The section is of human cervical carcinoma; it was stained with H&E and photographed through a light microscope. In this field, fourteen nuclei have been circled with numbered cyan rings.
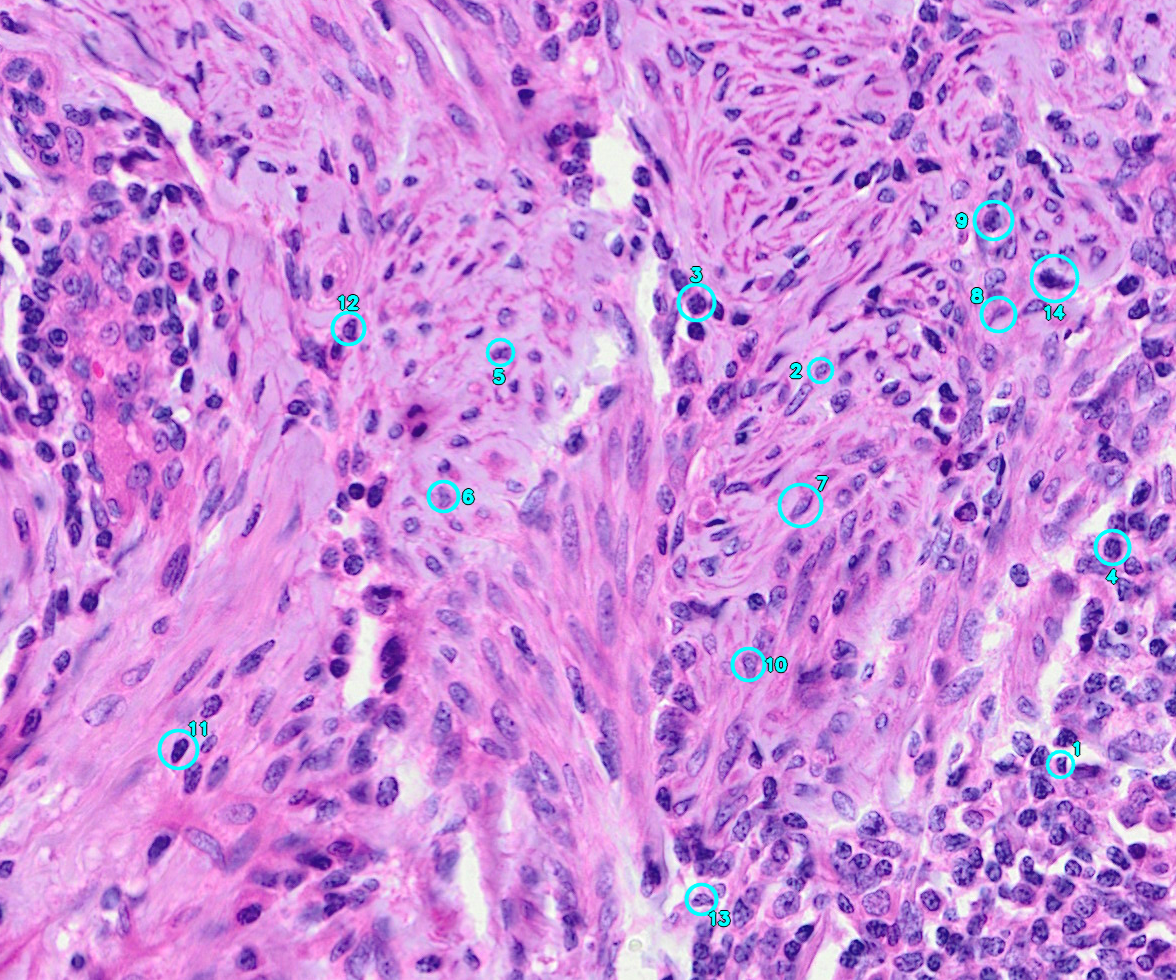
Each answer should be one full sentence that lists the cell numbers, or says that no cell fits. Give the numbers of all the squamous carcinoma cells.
The numbered cells and the squamous carcinoma cells have no member in common.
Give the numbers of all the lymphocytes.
The cells marked with the numbers 1, 3, 4, 9, 11, 12, 13 and 14 are lymphocytes.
